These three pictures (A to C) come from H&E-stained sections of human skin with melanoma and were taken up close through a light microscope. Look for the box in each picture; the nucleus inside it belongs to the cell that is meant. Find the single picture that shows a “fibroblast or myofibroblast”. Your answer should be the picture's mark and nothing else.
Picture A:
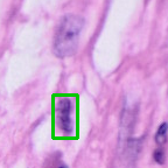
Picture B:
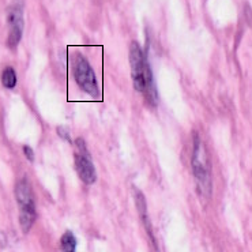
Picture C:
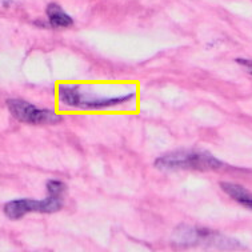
C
